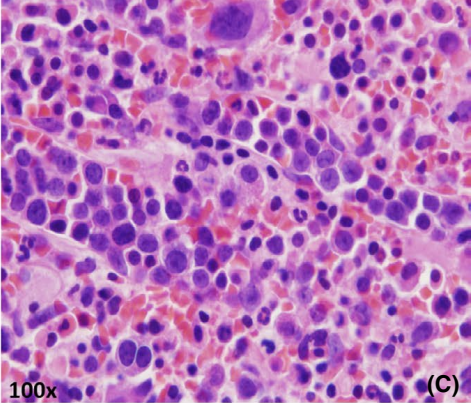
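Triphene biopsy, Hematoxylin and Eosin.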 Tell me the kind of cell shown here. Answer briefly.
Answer: pronormoblastic cells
